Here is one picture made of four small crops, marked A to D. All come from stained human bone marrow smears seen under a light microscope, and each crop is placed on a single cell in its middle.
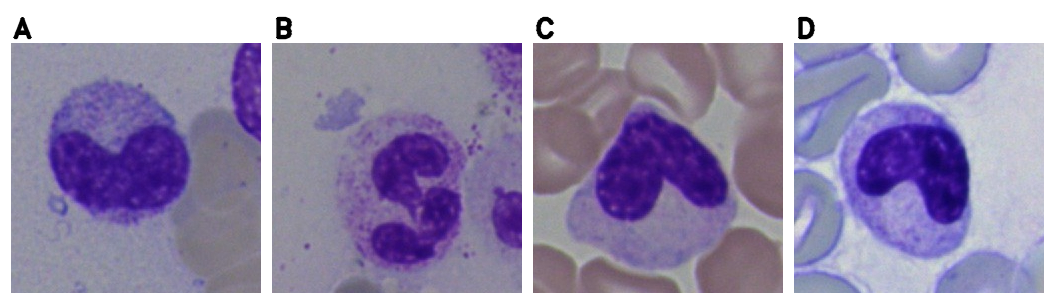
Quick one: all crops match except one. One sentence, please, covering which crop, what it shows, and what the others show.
Crop B alone is a segmented neutrophil, and the other crops are all band neutrophils.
